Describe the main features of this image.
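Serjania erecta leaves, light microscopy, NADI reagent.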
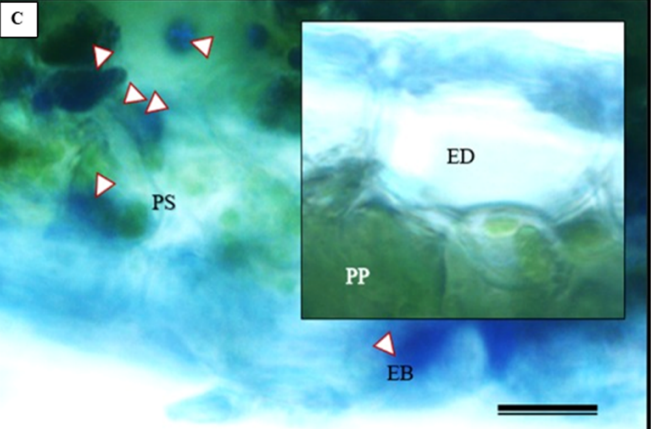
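A portion of leaf mesophyll is seen, with green-tinged parenchyma cells carrying several rounded dark blue globules. Toward the lower edge a blue-stained epidermal layer holds a further dark blue deposit. An inset shows a large clear epidermal cell lying above green, chloroplast-filled palisade cells.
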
